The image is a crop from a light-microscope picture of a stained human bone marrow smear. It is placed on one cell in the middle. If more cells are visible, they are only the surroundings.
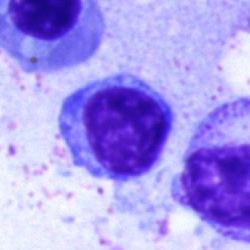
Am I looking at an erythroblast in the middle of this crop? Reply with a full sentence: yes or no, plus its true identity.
No, the central cell is not an erythroblast; it is a lymphocyte.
